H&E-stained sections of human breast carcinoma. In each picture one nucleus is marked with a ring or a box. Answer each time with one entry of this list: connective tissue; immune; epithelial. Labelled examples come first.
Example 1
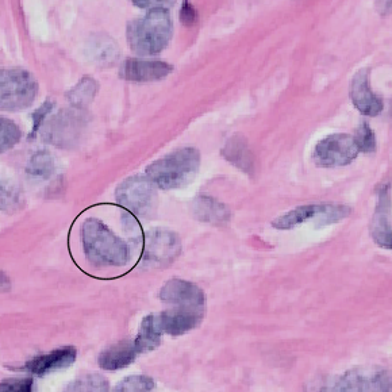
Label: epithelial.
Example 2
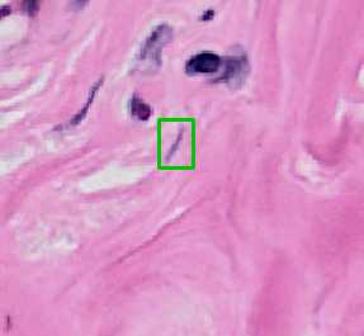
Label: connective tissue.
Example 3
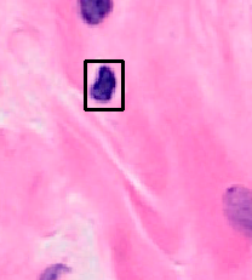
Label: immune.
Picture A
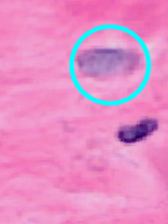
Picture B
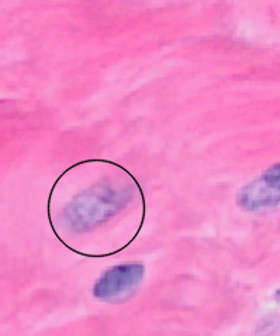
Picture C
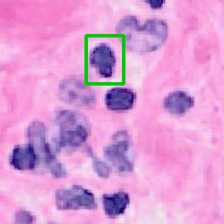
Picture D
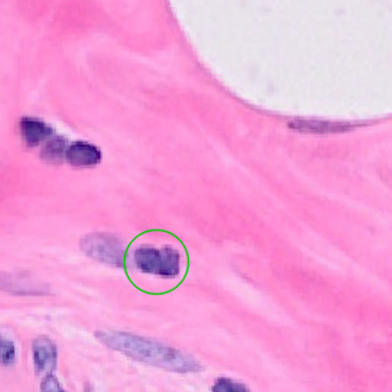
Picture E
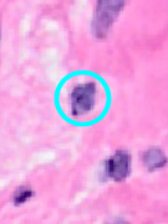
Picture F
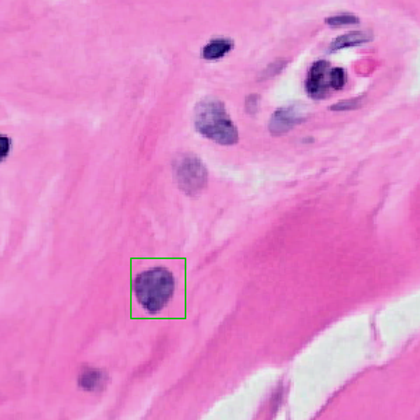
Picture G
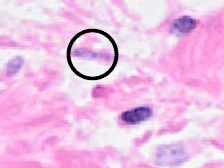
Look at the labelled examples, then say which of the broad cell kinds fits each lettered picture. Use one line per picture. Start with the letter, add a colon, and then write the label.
A: connective tissue.
B: connective tissue.
C: immune.
D: immune.
E: immune.
F: immune.
G: connective tissue.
